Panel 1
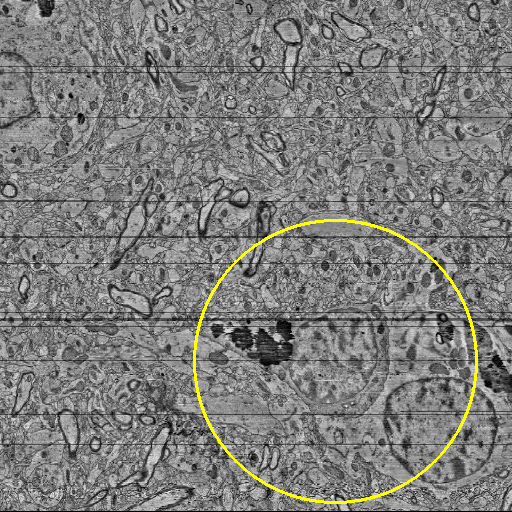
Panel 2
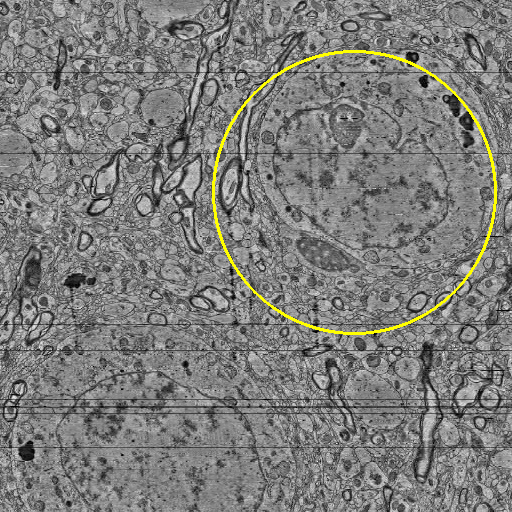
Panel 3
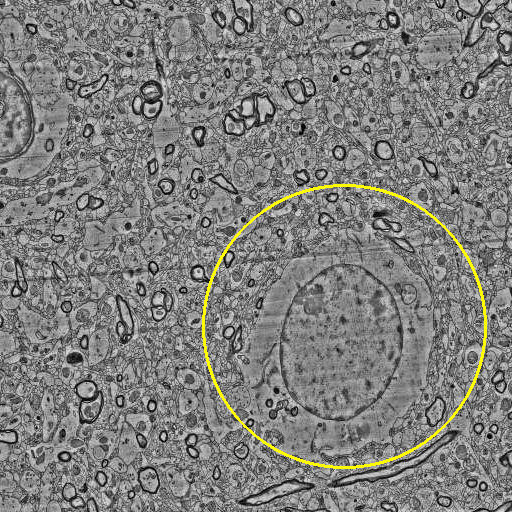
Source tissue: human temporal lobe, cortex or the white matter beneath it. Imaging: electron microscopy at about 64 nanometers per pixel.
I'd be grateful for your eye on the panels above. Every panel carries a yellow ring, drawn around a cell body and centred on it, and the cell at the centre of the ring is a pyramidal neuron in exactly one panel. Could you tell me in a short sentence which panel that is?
Panel 2 is the one with it at the centre of the ring.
